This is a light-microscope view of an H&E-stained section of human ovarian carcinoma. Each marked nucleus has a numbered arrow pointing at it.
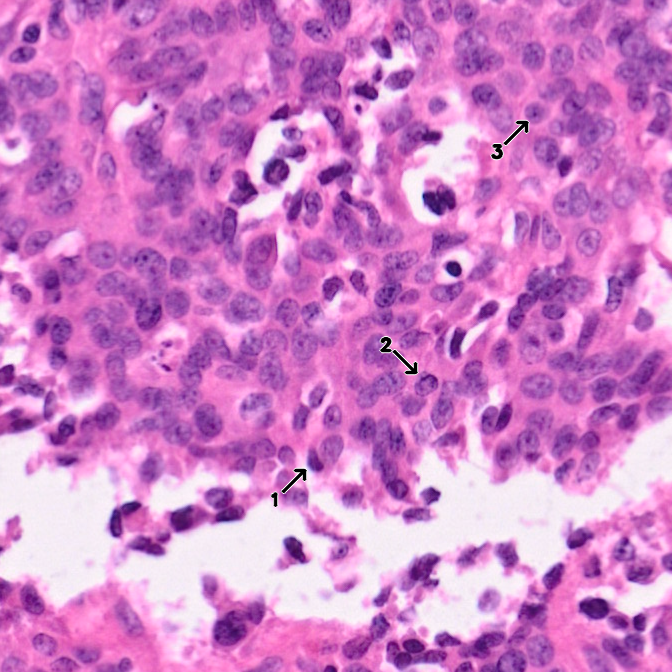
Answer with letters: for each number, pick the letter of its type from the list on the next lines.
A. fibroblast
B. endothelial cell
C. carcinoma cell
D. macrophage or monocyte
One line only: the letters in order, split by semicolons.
C; D; D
